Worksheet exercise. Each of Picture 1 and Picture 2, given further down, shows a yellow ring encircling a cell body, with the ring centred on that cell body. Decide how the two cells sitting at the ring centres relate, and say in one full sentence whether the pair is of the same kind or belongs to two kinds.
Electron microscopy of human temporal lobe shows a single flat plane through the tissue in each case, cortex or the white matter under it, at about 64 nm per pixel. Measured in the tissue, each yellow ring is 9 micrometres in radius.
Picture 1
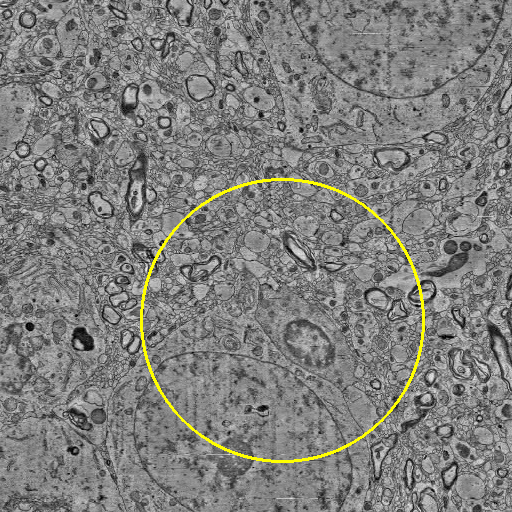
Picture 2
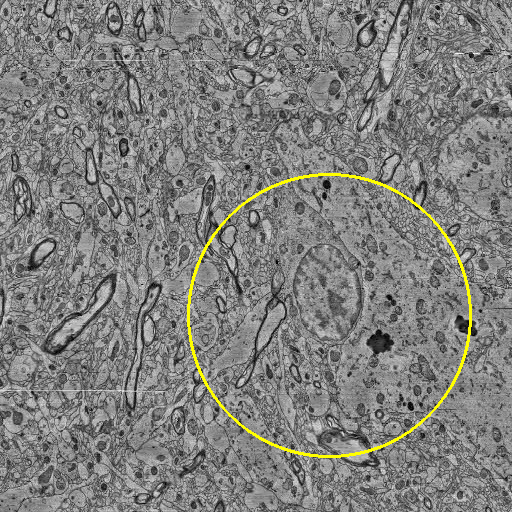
The cells at the ring centres in Picture 1 and Picture 2 are of the same kind.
